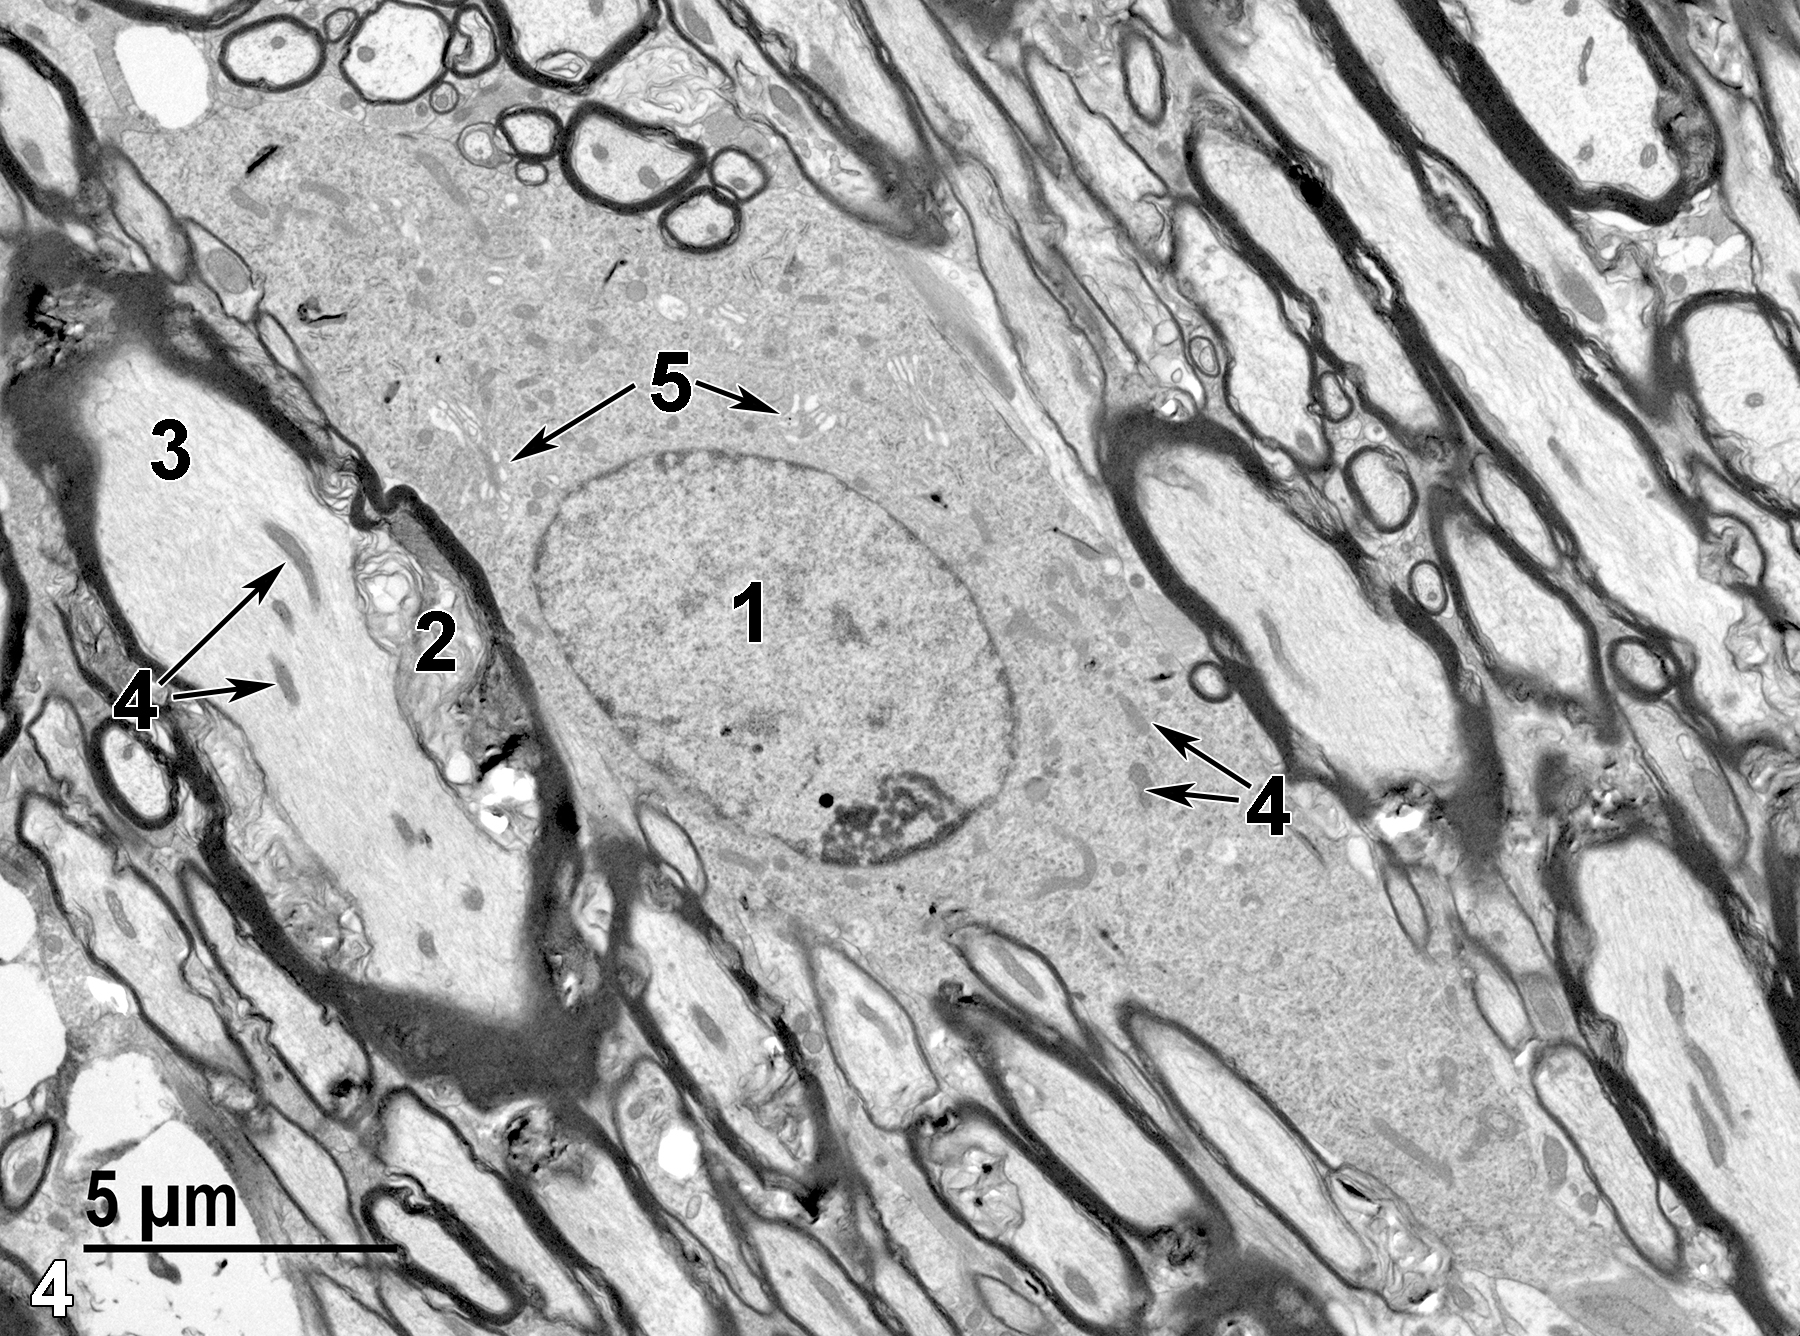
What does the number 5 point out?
Golgi bodies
